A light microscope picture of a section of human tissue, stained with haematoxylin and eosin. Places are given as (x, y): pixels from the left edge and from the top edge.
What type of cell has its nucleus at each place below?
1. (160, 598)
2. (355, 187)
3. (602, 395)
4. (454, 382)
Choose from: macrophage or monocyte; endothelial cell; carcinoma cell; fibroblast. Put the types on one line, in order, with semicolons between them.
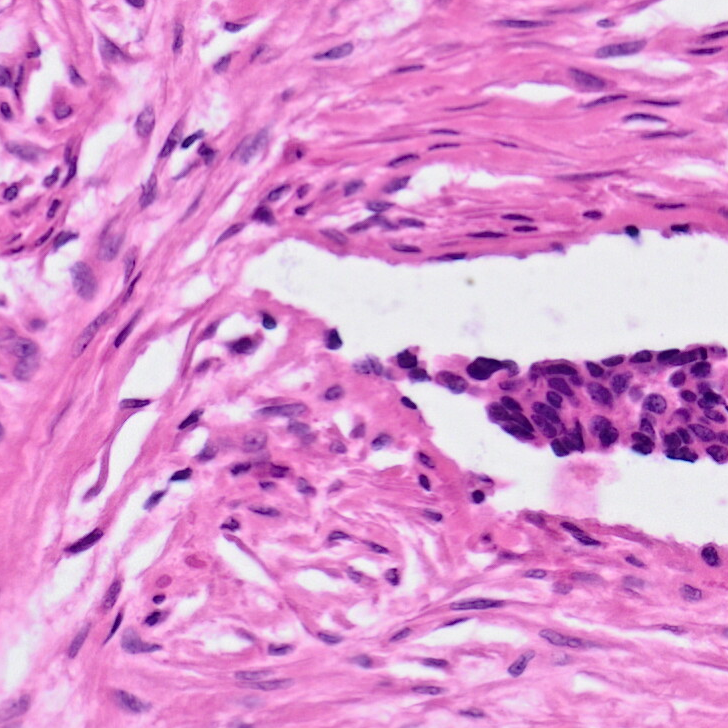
fibroblast; fibroblast; carcinoma cell; carcinoma cell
